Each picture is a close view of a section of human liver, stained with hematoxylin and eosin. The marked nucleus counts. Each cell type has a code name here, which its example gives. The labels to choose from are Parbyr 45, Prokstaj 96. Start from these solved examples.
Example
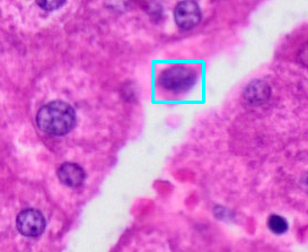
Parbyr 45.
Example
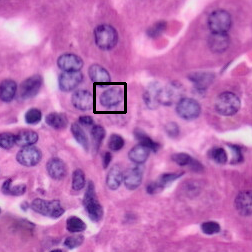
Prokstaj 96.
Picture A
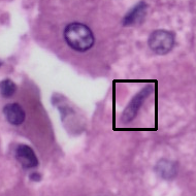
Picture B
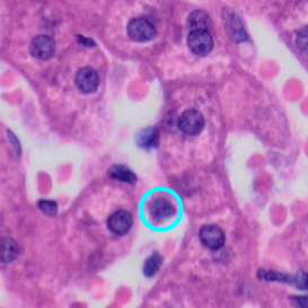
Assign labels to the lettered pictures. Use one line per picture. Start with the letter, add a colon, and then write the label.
A: Parbyr 45.
B: Parbyr 45.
